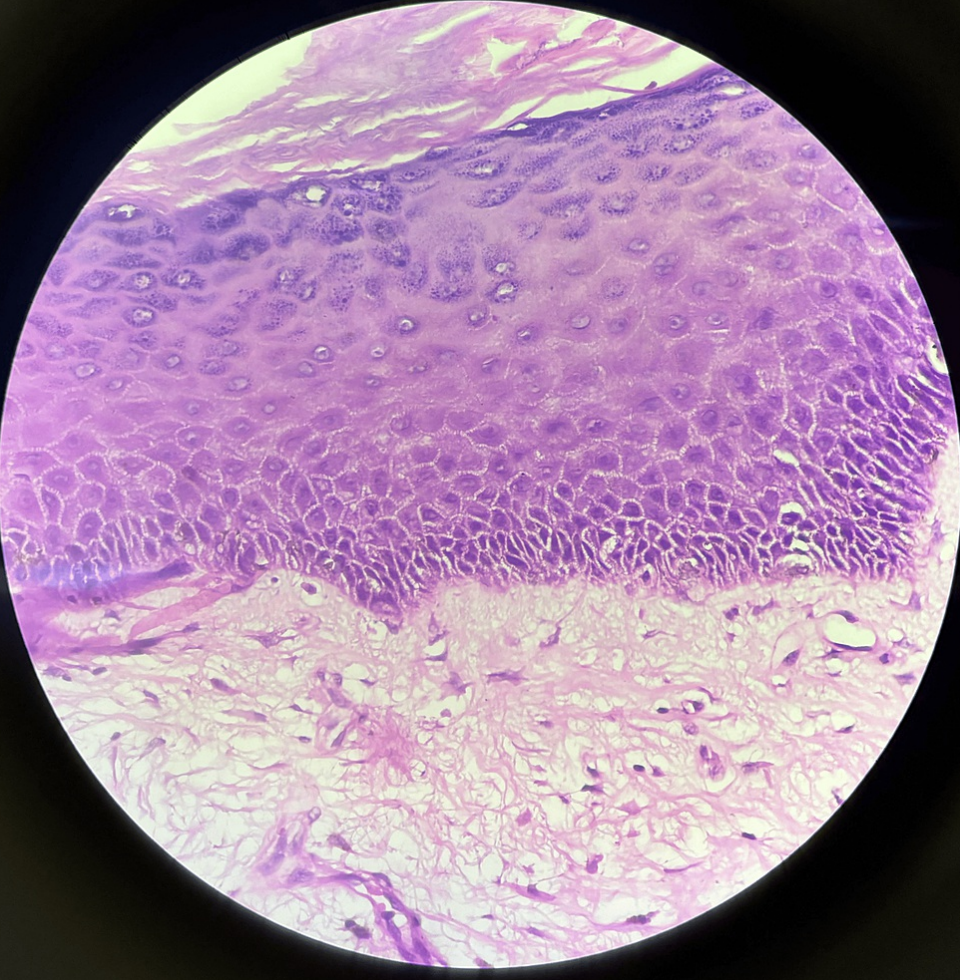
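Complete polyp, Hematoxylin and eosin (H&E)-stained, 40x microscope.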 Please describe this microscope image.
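The upper half shows a thick band of stratified squamous epithelium made of many layers of polygonal cells with round purple nuclei, pink cytoplasm and sharply outlined cell borders, some with clear haloes around the nuclei. Toward the surface the cells flatten and are covered by pale pink, flaky layers, while along the lower border a row of smaller, more crowded and darker cells meets the underlying tissue. Below lies a pale, loose stroma of thin wavy pink fibres separated by wide clear spaces, with scattered spindle-shaped nuclei and a few small vessel profiles. Together this is the surface lining and loose connective core of a polypoid lesion.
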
